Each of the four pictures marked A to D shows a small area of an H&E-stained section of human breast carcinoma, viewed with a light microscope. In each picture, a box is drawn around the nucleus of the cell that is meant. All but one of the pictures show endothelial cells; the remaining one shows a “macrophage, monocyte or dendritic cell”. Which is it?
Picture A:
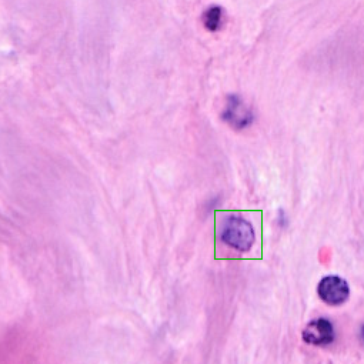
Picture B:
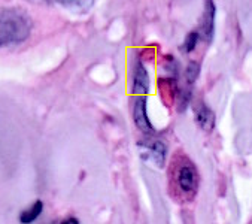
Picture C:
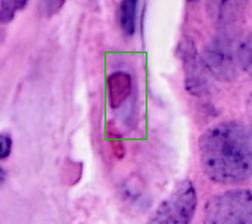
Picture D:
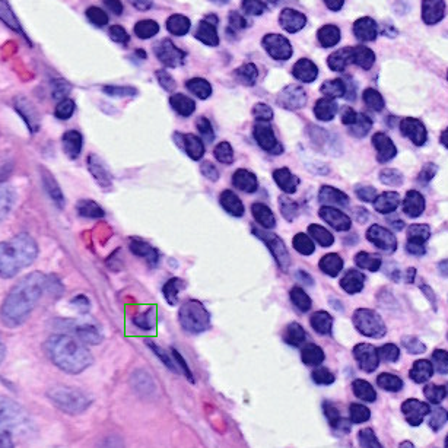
A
